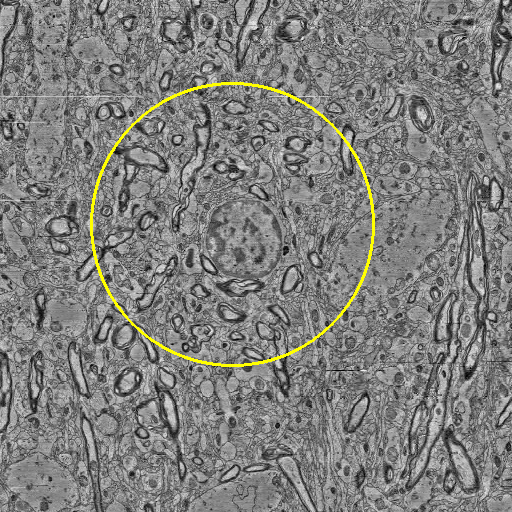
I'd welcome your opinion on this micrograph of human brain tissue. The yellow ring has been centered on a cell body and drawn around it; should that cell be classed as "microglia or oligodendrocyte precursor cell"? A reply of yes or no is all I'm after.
no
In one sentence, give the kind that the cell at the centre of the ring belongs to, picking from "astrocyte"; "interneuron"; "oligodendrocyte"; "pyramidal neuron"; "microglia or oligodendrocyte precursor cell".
It is an oligodendrocyte that the ring is centred on.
